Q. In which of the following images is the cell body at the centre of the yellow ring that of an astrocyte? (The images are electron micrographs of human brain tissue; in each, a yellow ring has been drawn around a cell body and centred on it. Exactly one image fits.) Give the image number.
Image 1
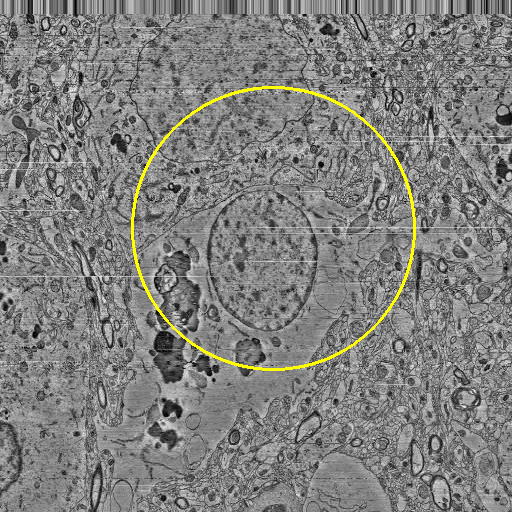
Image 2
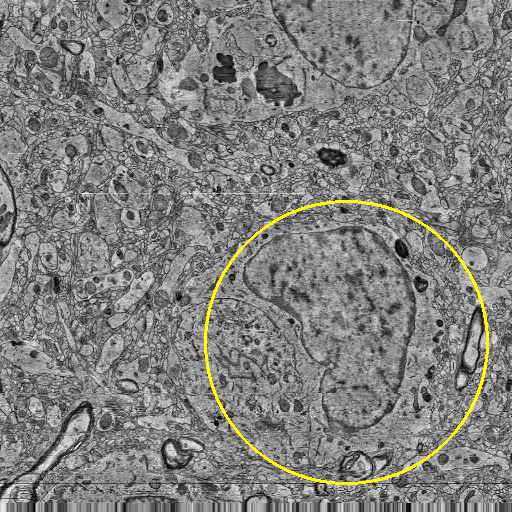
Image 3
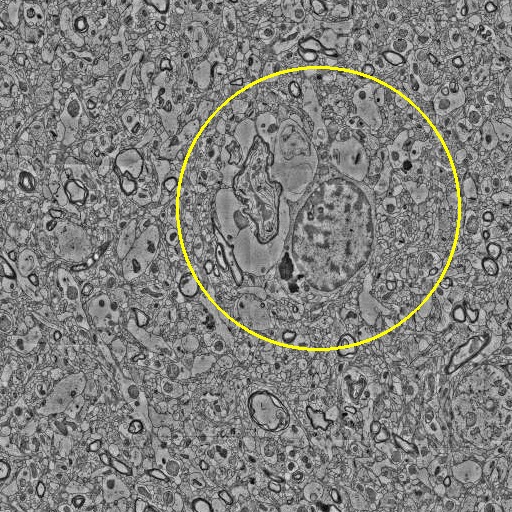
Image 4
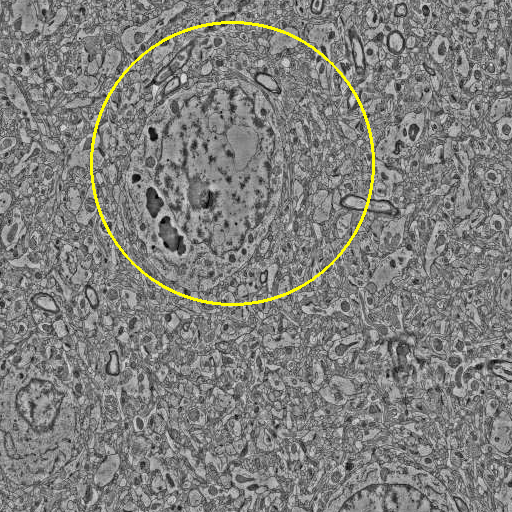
1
